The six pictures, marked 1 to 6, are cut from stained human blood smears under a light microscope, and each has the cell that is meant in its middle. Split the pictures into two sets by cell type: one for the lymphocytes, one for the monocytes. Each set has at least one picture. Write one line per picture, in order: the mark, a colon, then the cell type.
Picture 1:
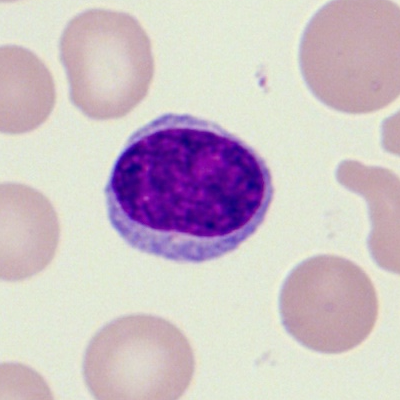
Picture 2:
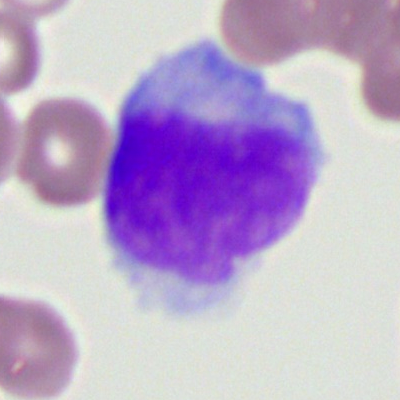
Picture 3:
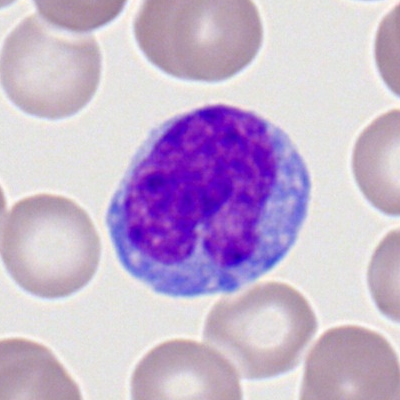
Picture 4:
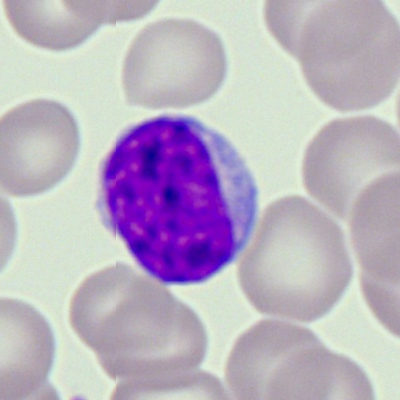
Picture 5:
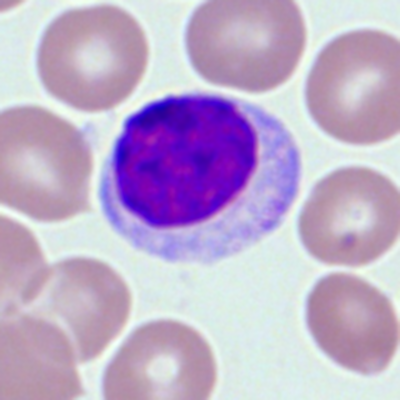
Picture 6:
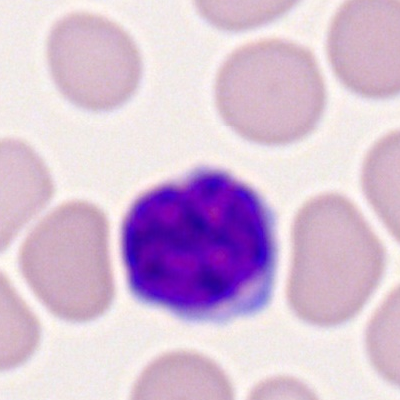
1: lymphocyte
2: monocyte
3: monocyte
4: lymphocyte
5: lymphocyte
6: lymphocyte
